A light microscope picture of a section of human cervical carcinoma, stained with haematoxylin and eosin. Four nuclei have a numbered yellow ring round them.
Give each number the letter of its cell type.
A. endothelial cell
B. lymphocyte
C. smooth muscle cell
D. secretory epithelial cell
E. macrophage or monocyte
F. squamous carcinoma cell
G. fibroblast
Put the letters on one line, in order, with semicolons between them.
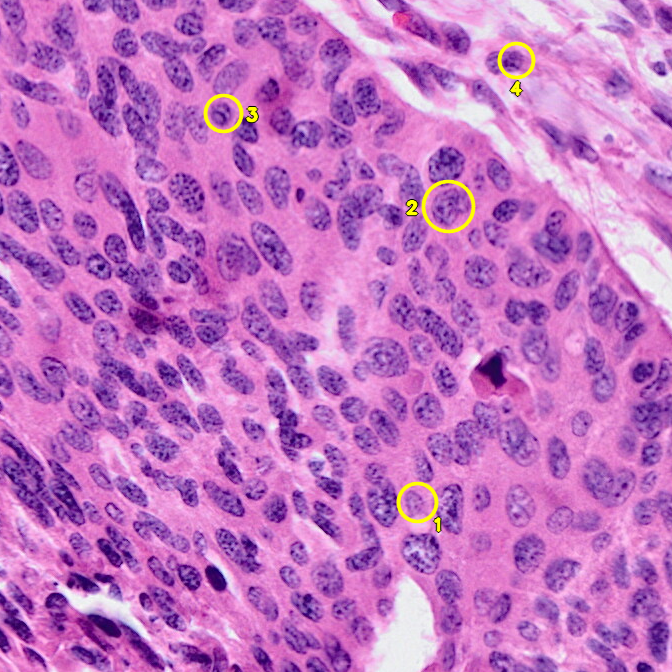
F; F; F; E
